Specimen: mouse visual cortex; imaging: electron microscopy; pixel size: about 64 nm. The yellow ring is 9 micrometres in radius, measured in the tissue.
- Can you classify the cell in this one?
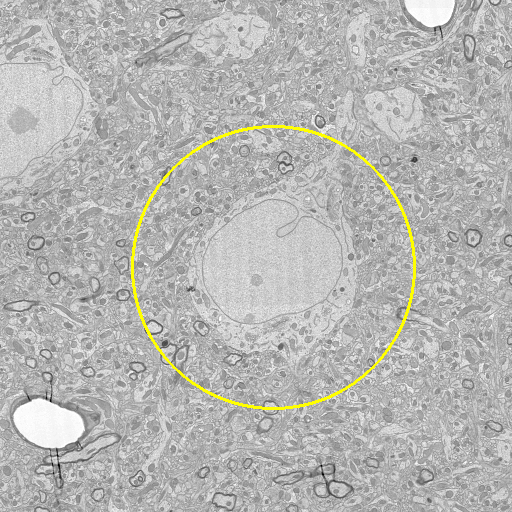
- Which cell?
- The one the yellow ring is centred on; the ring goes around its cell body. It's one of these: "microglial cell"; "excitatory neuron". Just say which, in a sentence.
The cell body in the ring belongs to an excitatory neuron.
